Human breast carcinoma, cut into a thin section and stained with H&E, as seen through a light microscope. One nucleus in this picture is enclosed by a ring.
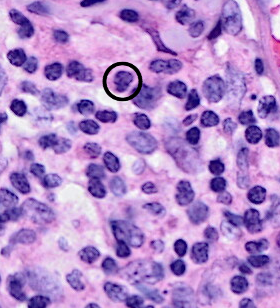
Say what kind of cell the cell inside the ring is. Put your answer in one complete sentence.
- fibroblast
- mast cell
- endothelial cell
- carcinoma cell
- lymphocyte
By its classification, the cell inside the ring is a lymphocyte.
